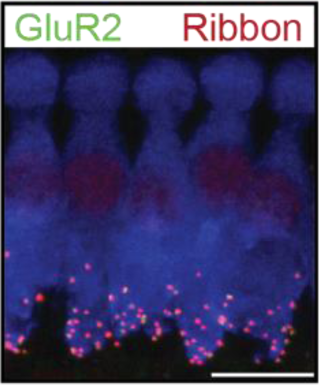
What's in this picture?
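A row of flask-shaped cochlear sensory cells fills the frame in blue, with rounded upper parts and nuclear regions faintly tinged red in the middle. At the bases of the cells, many small bright red and green puncta cluster closely together, often side by side.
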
